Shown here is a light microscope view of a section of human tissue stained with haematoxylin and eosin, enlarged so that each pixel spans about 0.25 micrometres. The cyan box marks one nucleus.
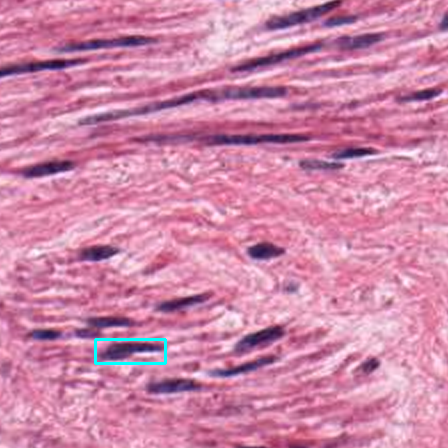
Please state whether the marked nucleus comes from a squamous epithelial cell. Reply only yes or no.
no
